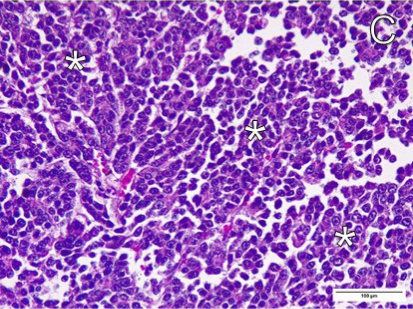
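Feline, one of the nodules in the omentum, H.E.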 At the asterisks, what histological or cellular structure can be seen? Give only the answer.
Solid arrangement.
